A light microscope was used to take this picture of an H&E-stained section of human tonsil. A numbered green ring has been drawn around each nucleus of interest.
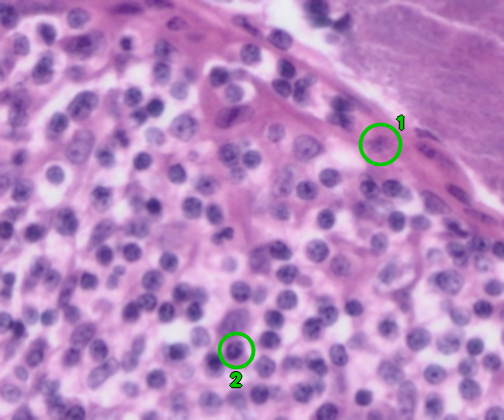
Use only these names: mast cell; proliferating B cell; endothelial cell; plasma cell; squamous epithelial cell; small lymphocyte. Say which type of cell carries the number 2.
plasma cell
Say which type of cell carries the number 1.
squamous epithelial cell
